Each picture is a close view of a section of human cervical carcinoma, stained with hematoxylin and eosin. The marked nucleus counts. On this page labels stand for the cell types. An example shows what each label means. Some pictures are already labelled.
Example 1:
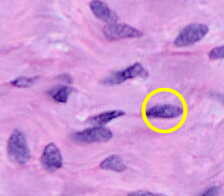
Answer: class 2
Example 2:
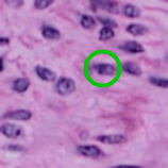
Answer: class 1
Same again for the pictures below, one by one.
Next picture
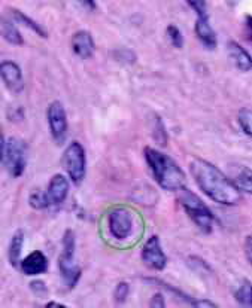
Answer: class 1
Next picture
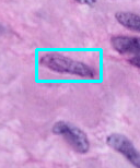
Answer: class 2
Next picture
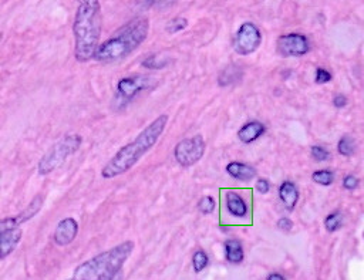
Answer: class 1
